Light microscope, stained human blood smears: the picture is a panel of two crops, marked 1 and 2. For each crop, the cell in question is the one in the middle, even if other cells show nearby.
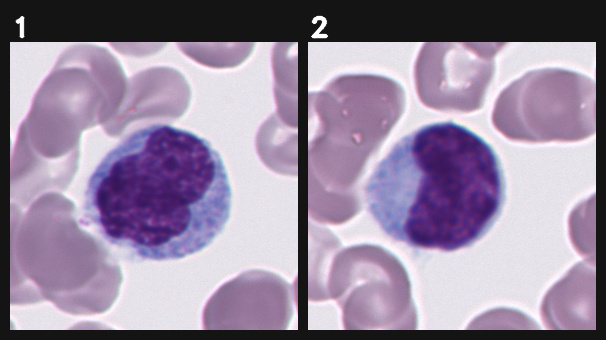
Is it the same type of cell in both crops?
yes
